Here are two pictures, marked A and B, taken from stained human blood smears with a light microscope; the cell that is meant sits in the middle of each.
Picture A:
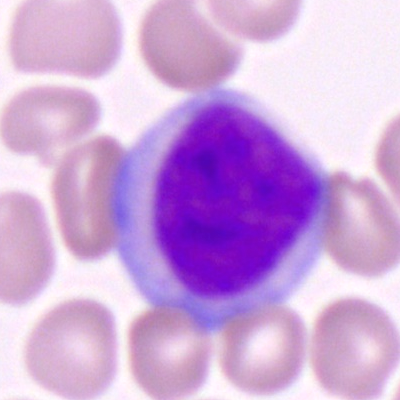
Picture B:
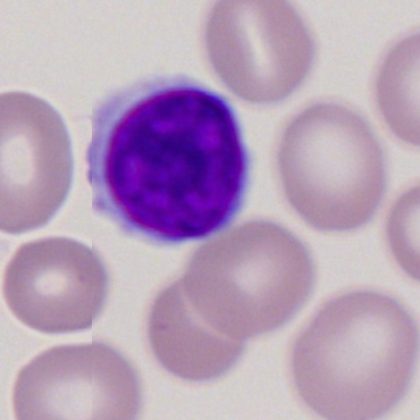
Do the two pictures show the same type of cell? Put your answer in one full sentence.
No; the cell in picture A is a myeloblast, while the one in picture B is a lymphocyte.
